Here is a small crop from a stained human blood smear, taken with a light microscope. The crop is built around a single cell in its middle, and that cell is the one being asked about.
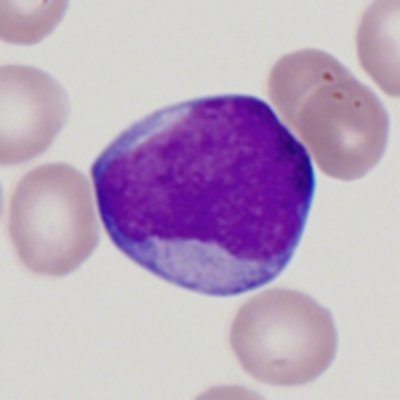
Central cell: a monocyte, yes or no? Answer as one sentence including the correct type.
No, the centrally placed cell is a myeloblast, not a monocyte.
